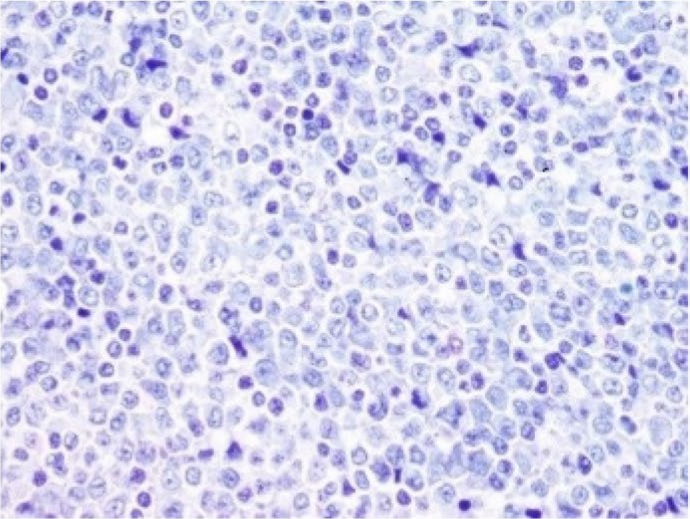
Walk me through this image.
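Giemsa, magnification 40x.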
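This is a dense, diffuse infiltrate of lymphoid cells, mostly medium sized lymphocytes, with a few larger cells scattered among them. The cells lie closely packed in sheets with no visible glandular or follicular architecture. Most nuclei are round to slightly irregular, pale blue with fine chromatin and a thin dark rim, and the cytoplasm is scant and pale. Interspersed are occasional larger cells with bigger, more open nuclei, and a number of small, darkly staining nuclei that stand out against the paler population. The staining is blue to violet throughout.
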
